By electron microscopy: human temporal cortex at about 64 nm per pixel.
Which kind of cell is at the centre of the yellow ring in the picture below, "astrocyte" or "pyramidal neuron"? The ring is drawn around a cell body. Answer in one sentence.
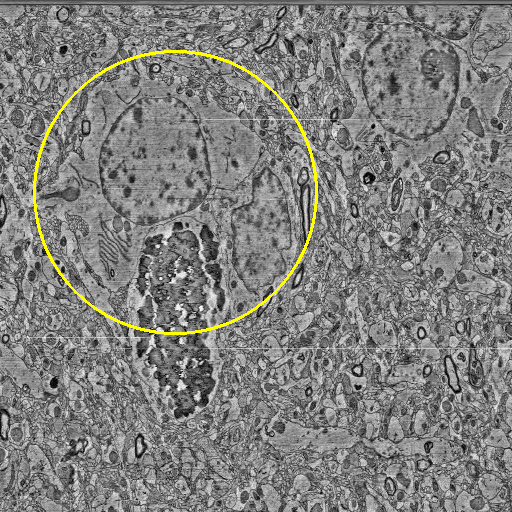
The ring's central cell is an astrocyte.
